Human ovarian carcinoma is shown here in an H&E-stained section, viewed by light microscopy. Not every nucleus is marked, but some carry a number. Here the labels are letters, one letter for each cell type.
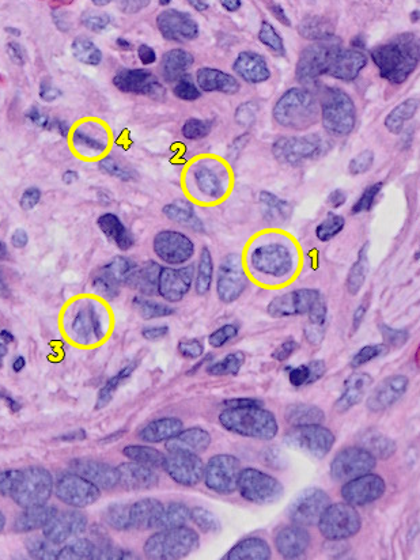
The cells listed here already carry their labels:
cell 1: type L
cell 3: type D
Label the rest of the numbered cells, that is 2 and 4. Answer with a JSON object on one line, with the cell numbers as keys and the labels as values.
{"2": "type D", "4": "type D"}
